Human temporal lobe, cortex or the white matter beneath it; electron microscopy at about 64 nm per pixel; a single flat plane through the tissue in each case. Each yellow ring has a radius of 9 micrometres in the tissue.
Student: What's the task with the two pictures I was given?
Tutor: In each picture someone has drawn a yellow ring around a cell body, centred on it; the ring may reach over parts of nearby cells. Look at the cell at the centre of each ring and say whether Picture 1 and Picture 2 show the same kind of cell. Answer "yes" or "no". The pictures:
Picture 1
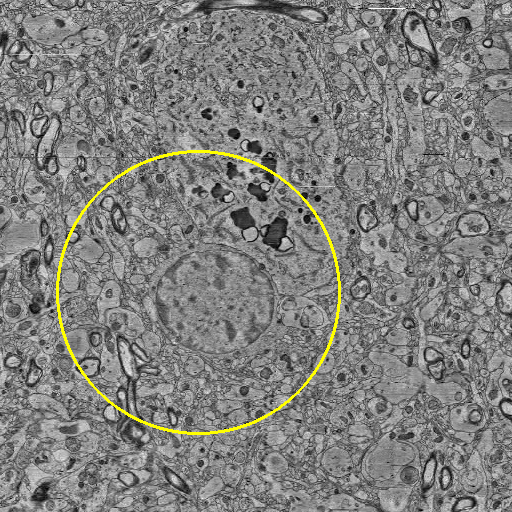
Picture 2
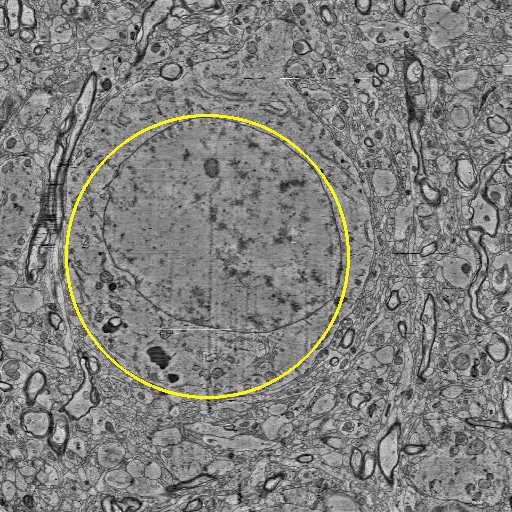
no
